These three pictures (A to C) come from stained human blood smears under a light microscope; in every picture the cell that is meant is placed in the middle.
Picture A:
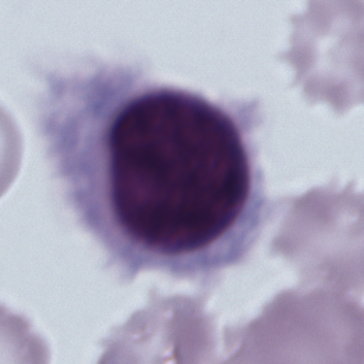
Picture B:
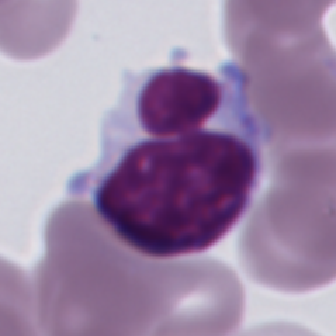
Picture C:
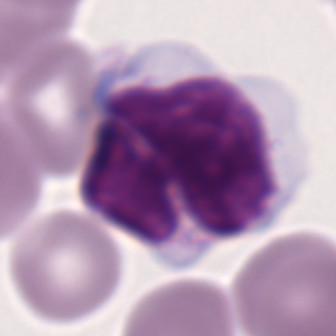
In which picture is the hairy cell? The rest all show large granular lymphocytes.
A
